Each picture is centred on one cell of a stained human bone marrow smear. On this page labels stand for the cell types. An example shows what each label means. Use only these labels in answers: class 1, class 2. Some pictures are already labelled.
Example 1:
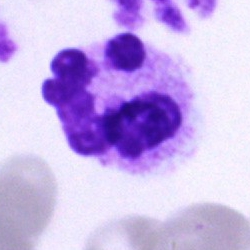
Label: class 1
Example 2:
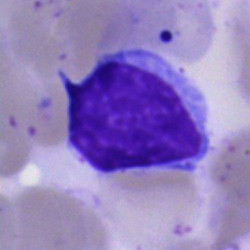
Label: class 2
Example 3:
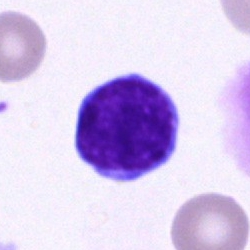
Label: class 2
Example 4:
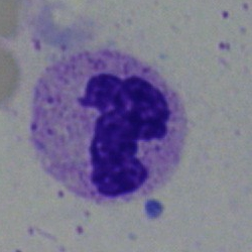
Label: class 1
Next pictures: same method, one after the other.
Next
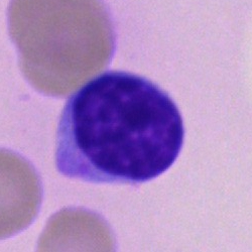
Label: class 2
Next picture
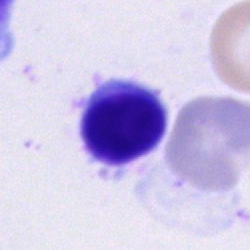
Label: class 2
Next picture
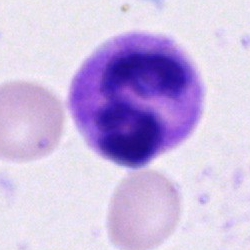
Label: class 1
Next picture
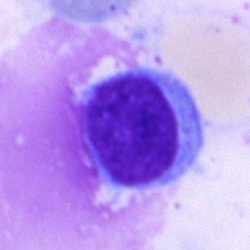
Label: class 2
